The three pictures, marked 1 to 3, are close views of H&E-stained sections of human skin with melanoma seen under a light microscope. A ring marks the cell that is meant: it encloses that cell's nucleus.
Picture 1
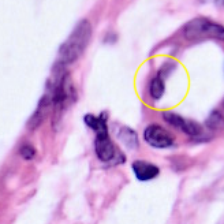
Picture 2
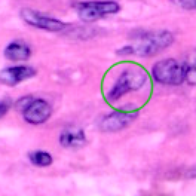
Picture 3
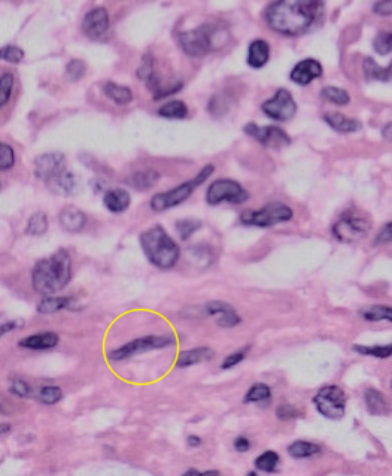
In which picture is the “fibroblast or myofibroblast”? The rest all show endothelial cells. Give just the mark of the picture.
3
